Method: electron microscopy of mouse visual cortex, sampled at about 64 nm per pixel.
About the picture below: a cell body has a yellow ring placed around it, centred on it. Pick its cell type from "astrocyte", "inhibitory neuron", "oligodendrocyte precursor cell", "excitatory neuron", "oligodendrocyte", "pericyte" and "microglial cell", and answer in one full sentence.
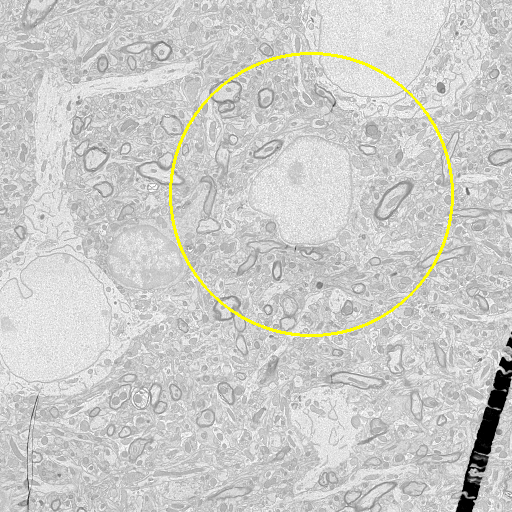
In the picture, an astrocyte is the cell sitting at the centre of the yellow ring.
